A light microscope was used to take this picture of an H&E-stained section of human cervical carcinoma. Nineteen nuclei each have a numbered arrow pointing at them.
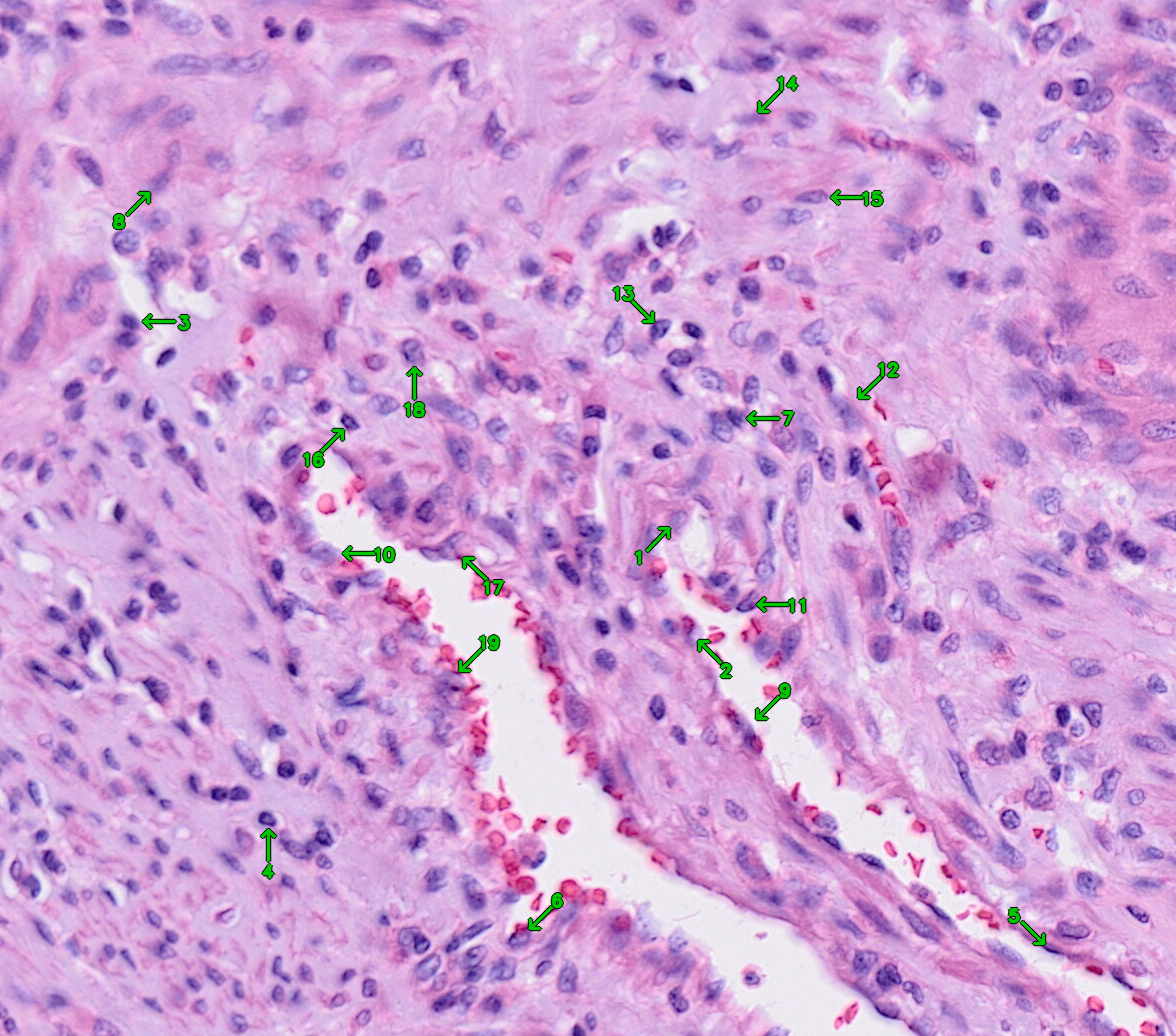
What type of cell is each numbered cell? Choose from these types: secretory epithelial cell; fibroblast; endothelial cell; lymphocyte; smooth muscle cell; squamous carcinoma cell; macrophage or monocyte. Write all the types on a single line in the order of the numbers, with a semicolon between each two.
endothelial cell; endothelial cell; lymphocyte; lymphocyte; endothelial cell; endothelial cell; lymphocyte; smooth muscle cell; endothelial cell; endothelial cell; endothelial cell; endothelial cell; lymphocyte; smooth muscle cell; smooth muscle cell; lymphocyte; endothelial cell; macrophage or monocyte; endothelial cell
